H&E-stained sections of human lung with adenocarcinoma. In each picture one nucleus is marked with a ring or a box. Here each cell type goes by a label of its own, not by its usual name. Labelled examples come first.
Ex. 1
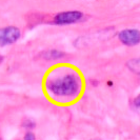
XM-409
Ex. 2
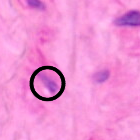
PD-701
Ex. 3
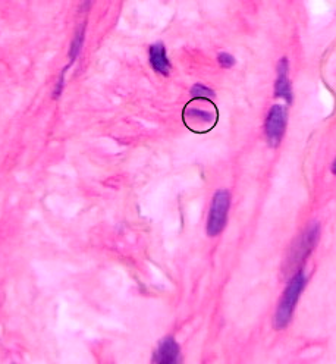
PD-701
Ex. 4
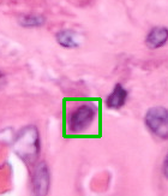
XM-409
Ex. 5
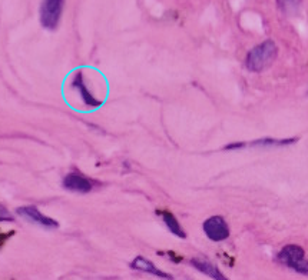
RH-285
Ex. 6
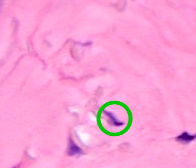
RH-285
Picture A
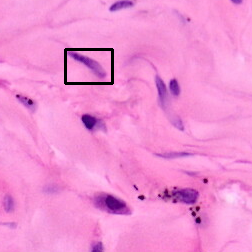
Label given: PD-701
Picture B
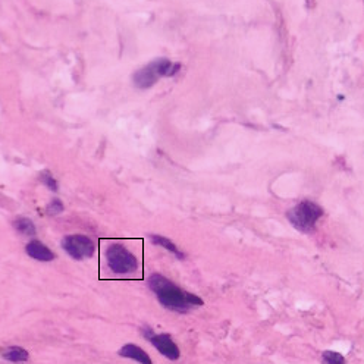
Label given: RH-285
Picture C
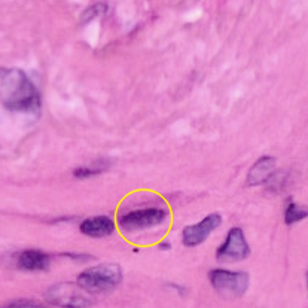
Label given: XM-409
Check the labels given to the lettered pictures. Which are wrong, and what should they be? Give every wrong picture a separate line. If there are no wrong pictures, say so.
Wrong: A (PD-701); correct: RH-285
Wrong: B (RH-285); correct: XM-409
